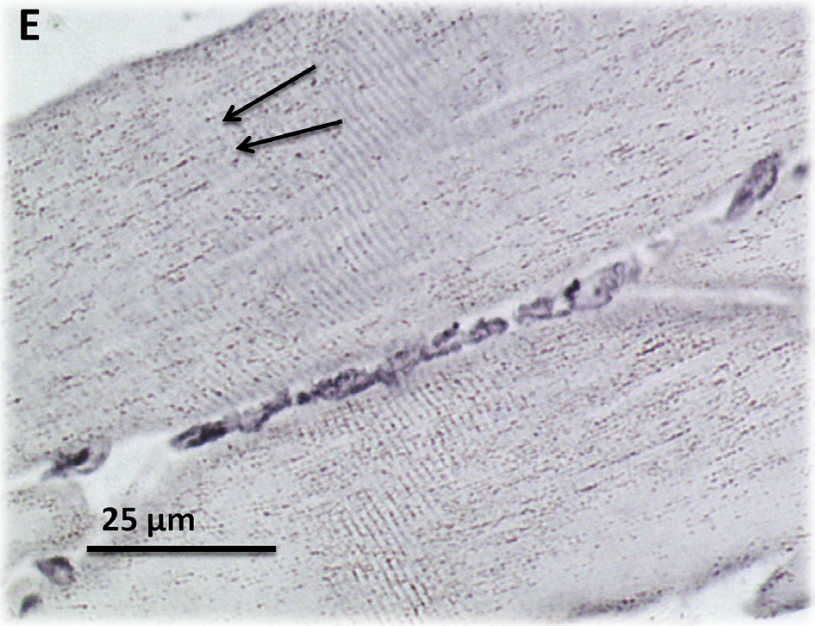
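A longitudinal section of skeletal muscle fibres, pale grey-violet with fine transverse cross striations running across them. A narrow cleft between two fibres is lined by elongated dark nuclei, and small dark dots are scattered through the fibres.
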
